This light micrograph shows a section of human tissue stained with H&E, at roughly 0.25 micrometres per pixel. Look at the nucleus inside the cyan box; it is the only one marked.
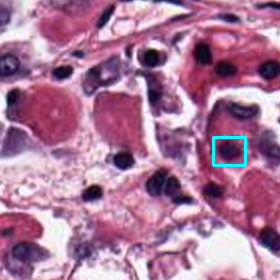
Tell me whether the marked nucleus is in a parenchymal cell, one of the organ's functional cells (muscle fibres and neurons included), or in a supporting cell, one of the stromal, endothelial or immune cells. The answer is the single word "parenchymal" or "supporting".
parenchymal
